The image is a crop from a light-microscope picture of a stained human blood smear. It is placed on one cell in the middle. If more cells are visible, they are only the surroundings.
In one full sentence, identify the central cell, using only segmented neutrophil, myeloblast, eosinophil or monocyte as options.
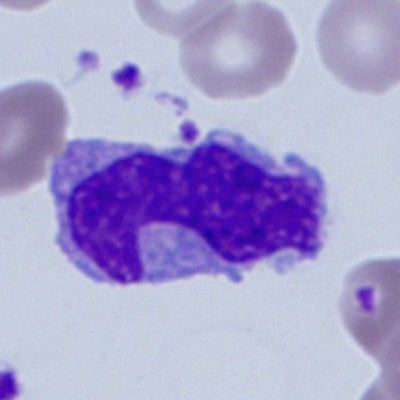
In this crop, the cell at the very middle is a monocyte.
